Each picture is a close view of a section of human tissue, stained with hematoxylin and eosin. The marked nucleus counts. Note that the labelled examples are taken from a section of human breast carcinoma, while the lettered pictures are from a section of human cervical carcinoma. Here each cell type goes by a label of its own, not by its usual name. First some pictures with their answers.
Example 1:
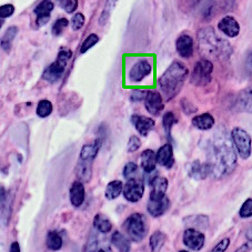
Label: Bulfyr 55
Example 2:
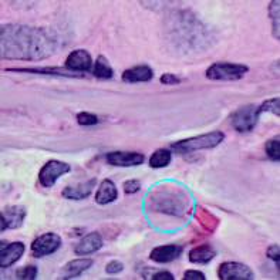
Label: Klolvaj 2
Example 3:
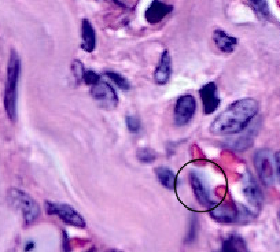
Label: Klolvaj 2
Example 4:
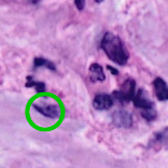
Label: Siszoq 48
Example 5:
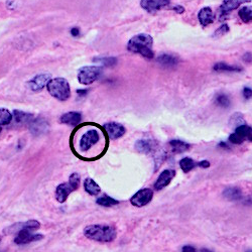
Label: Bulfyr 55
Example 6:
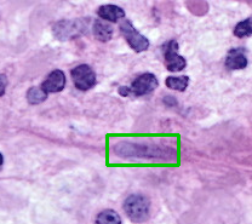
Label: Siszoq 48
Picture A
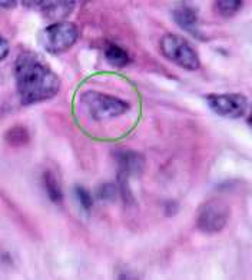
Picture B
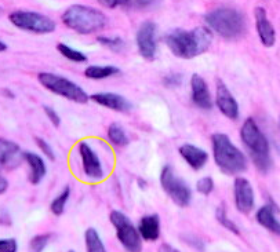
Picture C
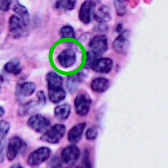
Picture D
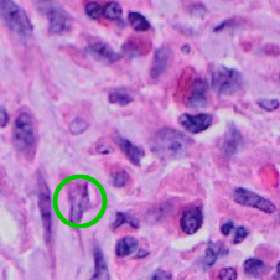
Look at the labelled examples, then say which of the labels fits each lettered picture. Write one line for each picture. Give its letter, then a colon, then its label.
A: Klolvaj 2
B: Siszoq 48
C: Bulfyr 55
D: Siszoq 48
